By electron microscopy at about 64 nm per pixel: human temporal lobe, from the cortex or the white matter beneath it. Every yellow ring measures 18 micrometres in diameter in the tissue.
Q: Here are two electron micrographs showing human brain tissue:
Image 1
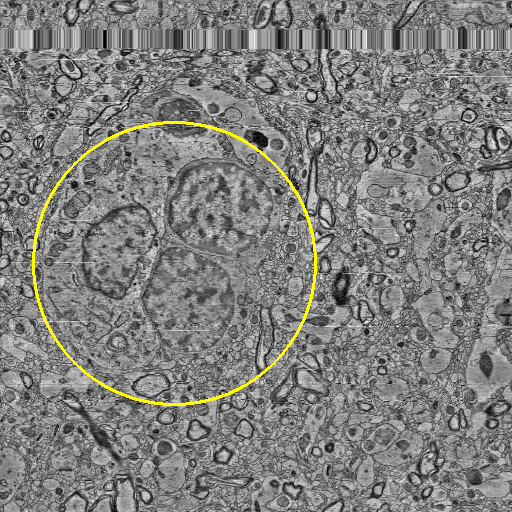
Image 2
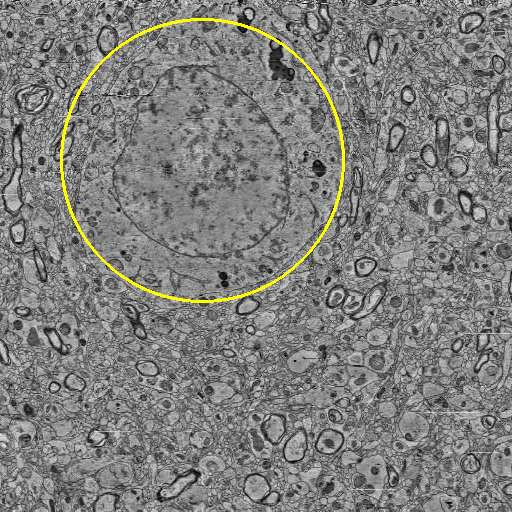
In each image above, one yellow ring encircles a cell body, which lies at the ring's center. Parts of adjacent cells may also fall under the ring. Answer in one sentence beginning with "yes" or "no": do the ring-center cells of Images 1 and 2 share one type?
No, in Images 1 and 2, the ring-center cells are of two types.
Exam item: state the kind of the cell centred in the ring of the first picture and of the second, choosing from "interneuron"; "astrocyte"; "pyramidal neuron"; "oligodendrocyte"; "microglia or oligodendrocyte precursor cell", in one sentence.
The first picture shows an oligodendrocyte at the ring centre and the second shows a pyramidal neuron.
